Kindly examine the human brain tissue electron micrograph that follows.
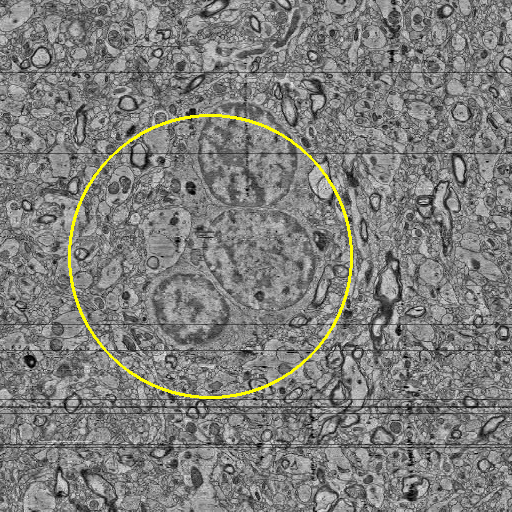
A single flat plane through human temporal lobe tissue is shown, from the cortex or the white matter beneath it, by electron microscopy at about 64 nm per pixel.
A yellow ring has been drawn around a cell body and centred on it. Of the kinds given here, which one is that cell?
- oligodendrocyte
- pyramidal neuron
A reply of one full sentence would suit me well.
The micrograph's ringed cell, the one at the ring's centre, is an oligodendrocyte.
